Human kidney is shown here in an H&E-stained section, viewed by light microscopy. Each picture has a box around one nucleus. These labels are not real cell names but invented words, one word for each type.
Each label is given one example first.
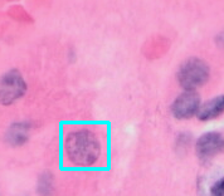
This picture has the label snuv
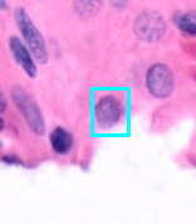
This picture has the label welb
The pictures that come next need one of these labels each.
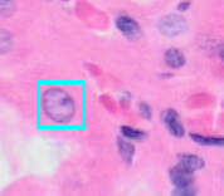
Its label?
snuv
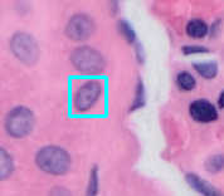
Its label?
snuv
